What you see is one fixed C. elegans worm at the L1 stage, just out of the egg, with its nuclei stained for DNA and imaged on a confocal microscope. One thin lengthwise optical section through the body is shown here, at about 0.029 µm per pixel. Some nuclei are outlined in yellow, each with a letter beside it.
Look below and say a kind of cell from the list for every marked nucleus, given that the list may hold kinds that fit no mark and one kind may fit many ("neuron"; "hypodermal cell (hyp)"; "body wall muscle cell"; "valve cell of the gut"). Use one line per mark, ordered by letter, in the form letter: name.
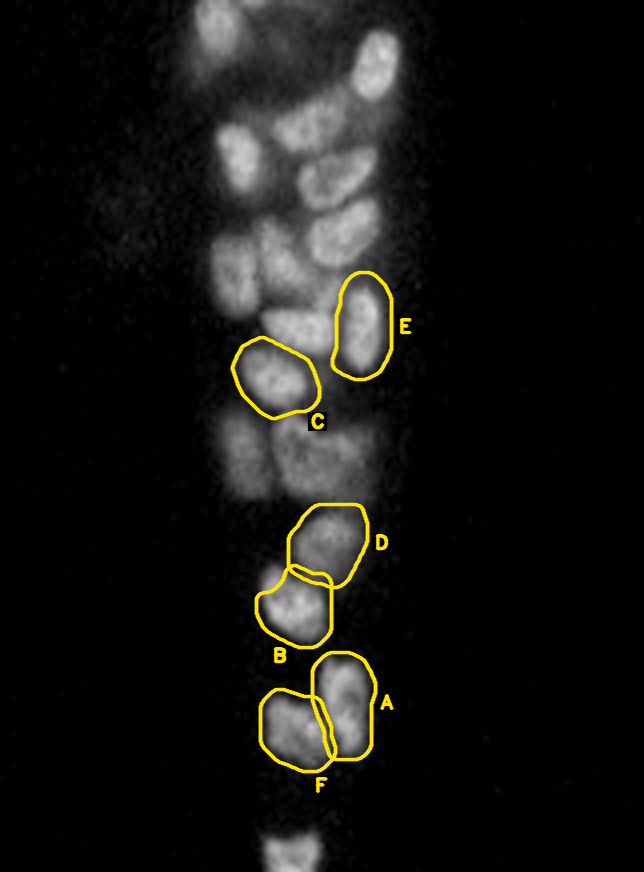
A: hypodermal cell (hyp)
B: hypodermal cell (hyp)
C: neuron
D: neuron
E: body wall muscle cell
F: hypodermal cell (hyp)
